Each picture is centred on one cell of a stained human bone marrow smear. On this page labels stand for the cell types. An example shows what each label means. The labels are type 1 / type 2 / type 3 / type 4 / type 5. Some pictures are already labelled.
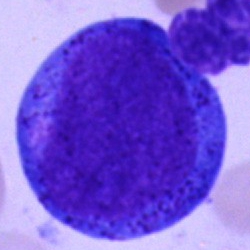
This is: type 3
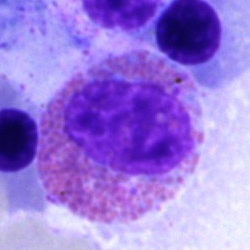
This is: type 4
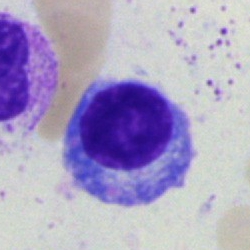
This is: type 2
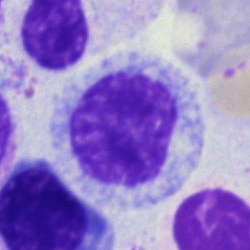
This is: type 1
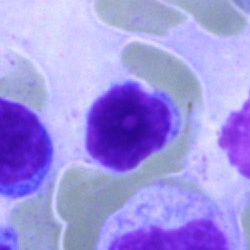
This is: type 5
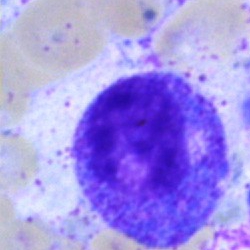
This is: type 3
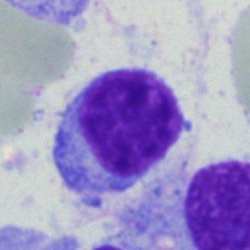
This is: type 5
